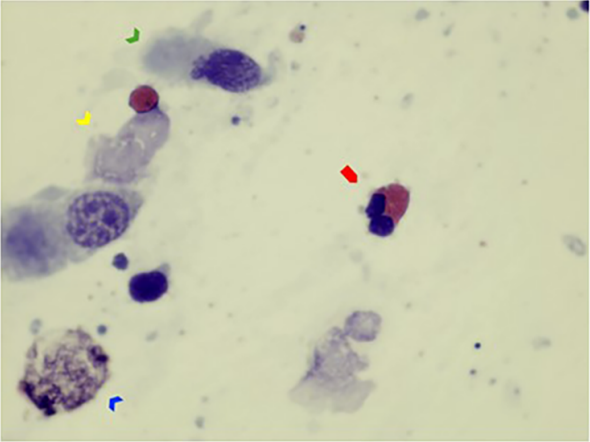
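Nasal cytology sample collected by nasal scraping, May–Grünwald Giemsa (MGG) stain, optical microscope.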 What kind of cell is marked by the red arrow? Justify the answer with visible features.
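Eosinophils. The marked cell is small with a dark lobed nucleus. Its cytoplasm is red-orange.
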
